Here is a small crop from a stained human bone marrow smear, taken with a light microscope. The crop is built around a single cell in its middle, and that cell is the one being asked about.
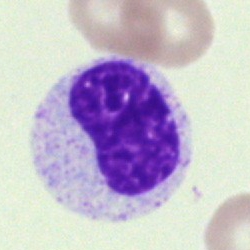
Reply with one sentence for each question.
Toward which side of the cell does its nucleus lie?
Toward the upper right of the cell lies its nucleus.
